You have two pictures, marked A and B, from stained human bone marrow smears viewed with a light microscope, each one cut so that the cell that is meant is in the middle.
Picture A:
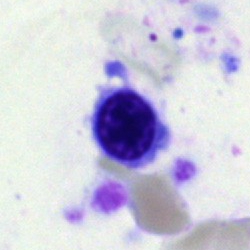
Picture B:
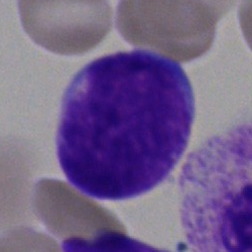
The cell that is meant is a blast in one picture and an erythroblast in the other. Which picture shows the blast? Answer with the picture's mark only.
B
